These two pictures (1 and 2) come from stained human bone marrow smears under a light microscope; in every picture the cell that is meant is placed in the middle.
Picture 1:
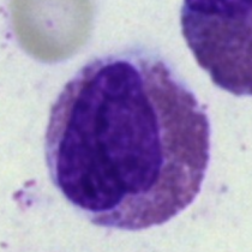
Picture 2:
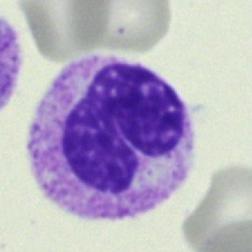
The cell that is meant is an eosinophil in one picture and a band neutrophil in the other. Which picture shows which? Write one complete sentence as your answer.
Picture 2 shows a band neutrophil, while picture 1 shows an eosinophil.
